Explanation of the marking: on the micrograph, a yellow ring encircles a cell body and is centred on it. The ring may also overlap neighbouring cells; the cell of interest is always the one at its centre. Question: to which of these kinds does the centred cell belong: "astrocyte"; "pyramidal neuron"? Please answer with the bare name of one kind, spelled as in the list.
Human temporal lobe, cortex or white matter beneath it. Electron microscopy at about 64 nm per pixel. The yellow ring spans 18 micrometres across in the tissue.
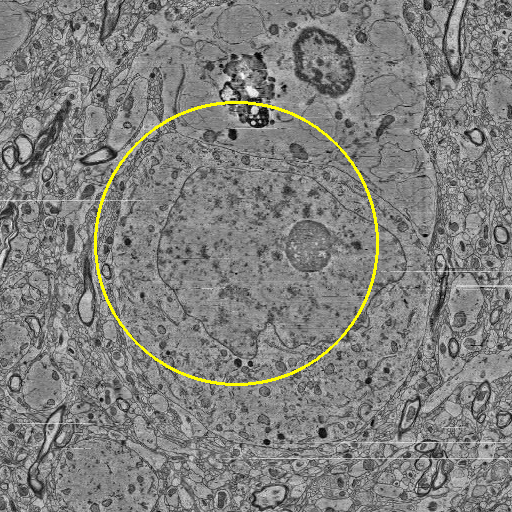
pyramidal neuron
